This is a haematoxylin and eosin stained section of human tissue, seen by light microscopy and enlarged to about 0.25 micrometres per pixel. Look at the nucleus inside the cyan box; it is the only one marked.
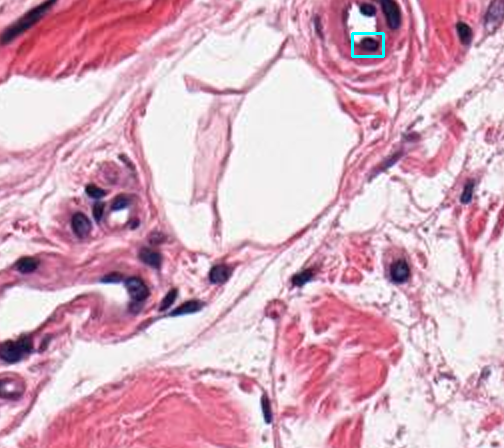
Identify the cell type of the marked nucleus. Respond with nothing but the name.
endothelial cell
